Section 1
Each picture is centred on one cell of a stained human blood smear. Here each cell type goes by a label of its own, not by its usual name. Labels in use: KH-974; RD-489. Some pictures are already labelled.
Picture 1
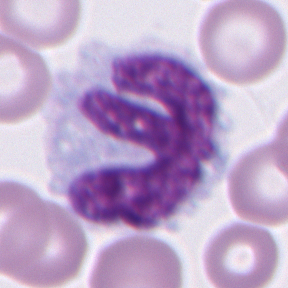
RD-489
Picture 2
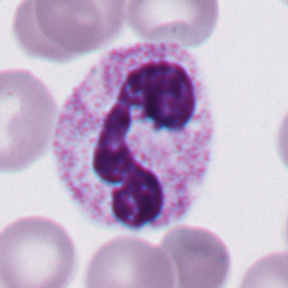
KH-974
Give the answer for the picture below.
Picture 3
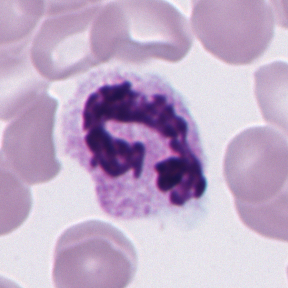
KH-974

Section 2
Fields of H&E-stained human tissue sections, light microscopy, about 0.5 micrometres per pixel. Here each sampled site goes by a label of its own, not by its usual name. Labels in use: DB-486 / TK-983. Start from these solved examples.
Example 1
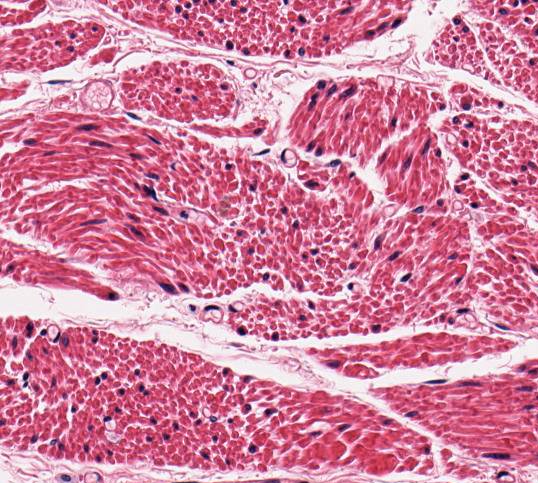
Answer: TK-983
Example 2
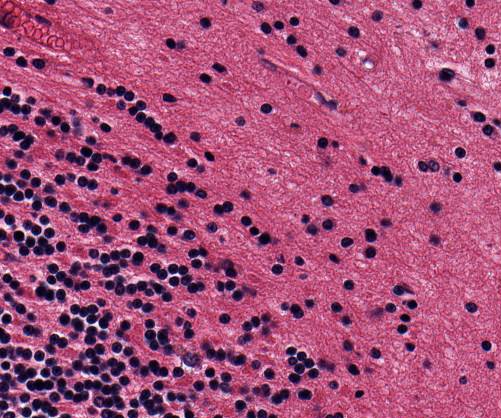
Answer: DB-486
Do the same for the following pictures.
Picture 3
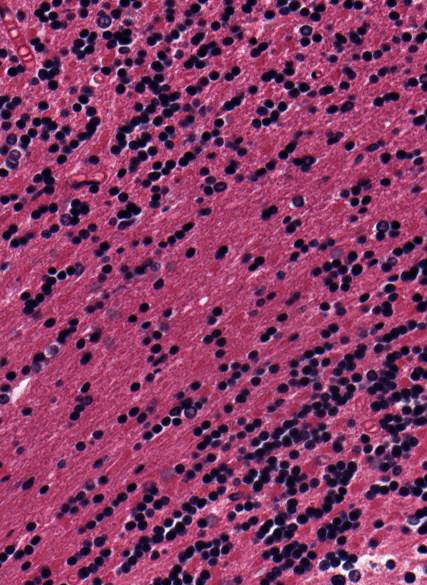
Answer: DB-486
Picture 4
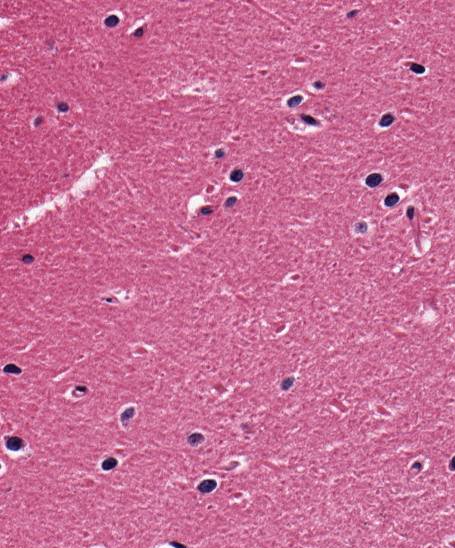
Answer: DB-486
